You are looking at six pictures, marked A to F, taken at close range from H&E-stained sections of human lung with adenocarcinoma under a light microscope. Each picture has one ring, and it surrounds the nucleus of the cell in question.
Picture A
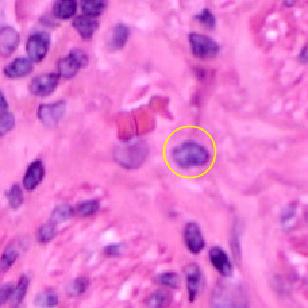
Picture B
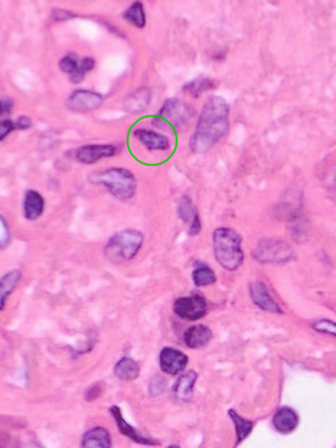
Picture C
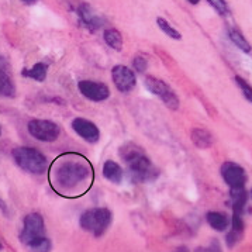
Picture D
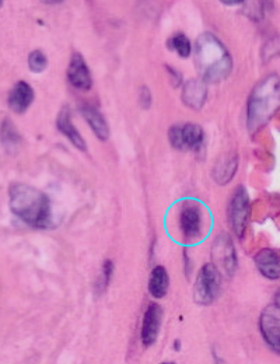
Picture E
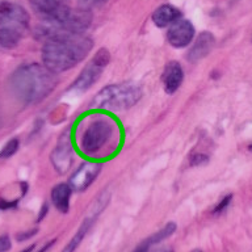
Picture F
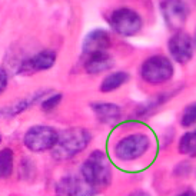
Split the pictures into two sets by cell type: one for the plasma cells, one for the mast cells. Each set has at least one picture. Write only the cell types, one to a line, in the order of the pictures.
mast cell
mast cell
plasma cell
plasma cell
plasma cell
mast cell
